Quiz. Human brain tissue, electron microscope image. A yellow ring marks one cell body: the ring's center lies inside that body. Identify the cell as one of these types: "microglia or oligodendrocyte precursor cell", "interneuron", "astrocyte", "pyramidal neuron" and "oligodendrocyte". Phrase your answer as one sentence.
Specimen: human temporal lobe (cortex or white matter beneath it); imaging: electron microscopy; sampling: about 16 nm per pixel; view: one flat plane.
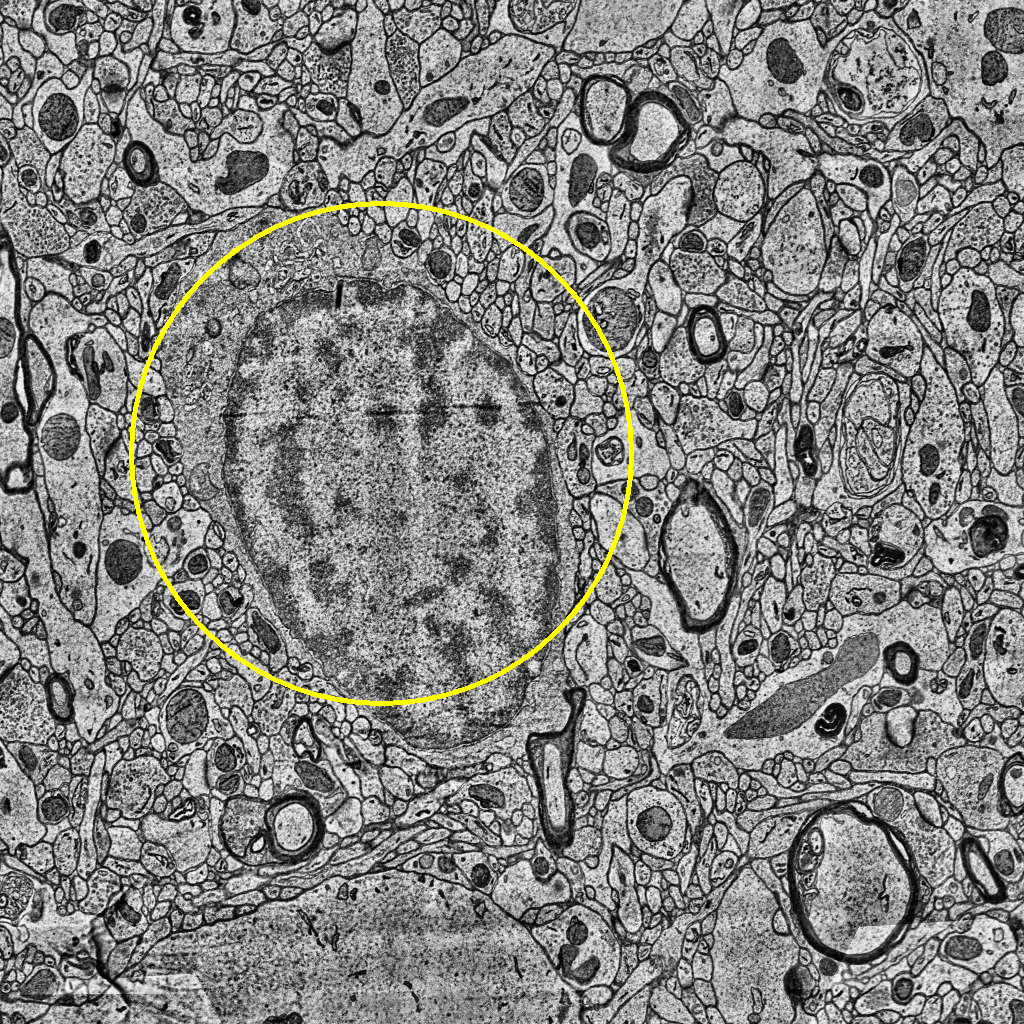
At the center of the ring sits an oligodendrocyte.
